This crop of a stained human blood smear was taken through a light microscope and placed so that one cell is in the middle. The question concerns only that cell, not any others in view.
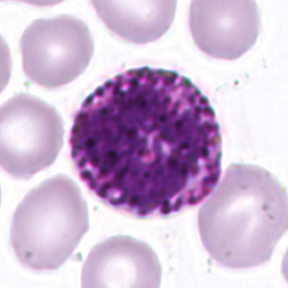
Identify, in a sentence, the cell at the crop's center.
Located at the centre of the crop is a basophil.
